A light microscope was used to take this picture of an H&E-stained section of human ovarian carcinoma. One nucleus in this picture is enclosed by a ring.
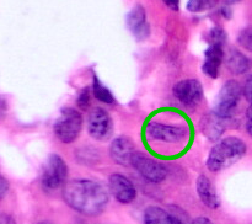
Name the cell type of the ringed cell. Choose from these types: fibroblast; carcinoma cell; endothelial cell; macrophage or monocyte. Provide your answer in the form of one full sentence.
In the tissue under study, the ringed cell is an endothelial cell.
